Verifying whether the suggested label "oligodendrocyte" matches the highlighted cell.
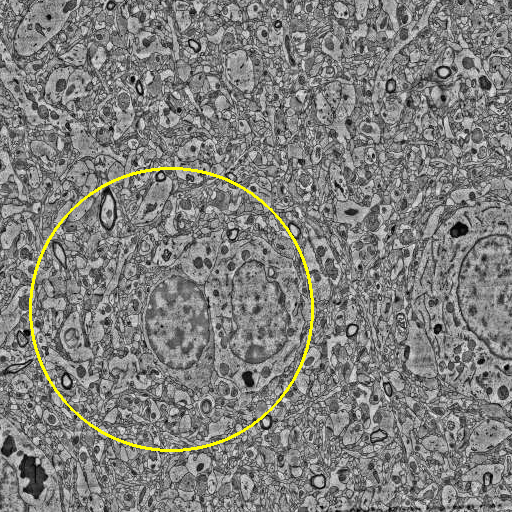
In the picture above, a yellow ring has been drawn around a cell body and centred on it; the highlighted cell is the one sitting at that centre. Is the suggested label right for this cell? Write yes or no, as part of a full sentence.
Yes, the suggested label is right for the cell centred in the yellow ring.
